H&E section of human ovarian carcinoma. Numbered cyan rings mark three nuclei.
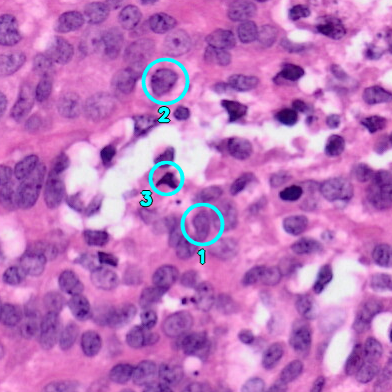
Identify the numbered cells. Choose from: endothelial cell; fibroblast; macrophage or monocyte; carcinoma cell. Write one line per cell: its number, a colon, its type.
1: carcinoma cell
2: carcinoma cell
3: macrophage or monocyte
